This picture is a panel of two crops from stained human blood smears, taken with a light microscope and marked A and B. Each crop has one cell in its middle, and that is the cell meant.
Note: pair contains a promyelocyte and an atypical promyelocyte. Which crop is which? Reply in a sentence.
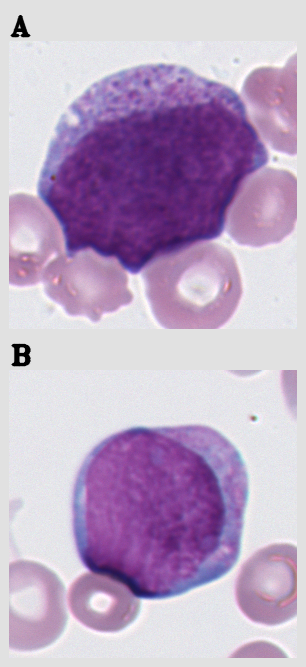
It is a promyelocyte that crop A shows, and an atypical promyelocyte that crop B shows.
